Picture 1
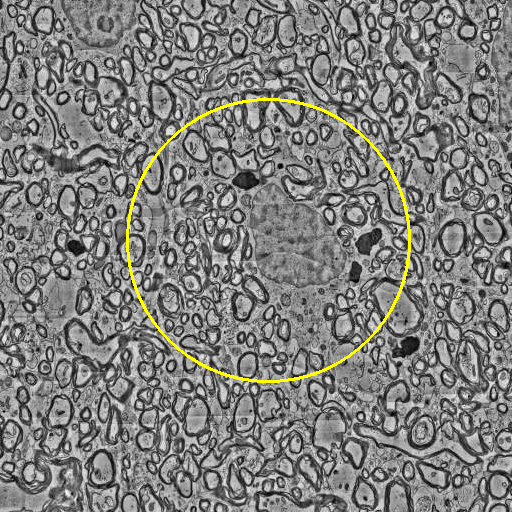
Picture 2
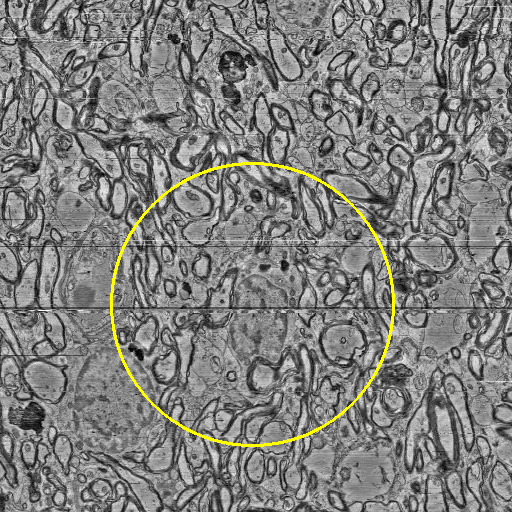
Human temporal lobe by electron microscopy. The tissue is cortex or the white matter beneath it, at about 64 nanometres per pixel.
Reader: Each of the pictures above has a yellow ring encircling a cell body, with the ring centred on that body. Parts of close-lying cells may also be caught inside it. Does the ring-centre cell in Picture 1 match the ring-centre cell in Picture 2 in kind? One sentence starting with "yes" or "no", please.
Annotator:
Yes, Picture 1 and Picture 2 show ring-centre cells of a single kind.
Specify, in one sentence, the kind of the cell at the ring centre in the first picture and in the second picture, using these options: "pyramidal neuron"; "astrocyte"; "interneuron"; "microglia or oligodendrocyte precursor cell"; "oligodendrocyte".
Each of the two pictures has an oligodendrocyte at the ring centre.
